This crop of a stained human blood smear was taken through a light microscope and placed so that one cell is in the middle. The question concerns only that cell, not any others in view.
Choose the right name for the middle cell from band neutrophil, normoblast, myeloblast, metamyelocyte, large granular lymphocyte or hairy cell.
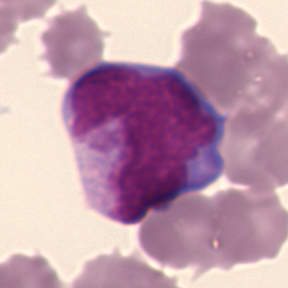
myeloblast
